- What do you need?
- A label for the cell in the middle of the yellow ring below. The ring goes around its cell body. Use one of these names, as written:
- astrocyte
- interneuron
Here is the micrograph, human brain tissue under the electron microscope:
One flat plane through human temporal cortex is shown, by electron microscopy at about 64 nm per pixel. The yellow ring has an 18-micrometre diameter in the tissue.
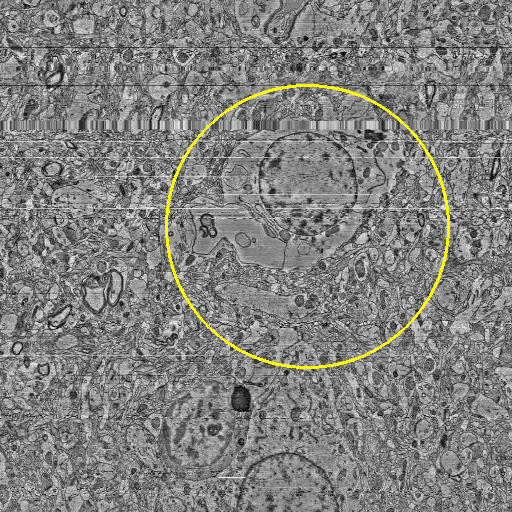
astrocyte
